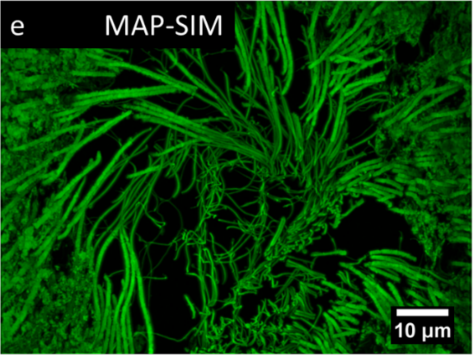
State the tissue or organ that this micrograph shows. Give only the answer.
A: Seminiferous tubule.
